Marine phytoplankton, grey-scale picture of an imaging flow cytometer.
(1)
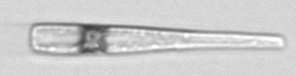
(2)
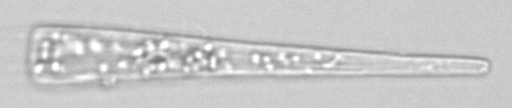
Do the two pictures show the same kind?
Yes, both are Licmophora.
